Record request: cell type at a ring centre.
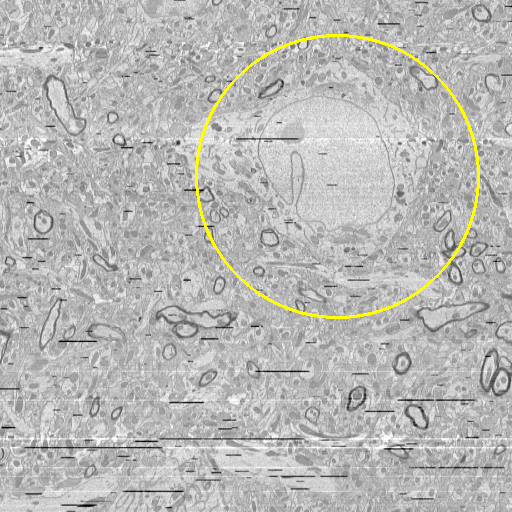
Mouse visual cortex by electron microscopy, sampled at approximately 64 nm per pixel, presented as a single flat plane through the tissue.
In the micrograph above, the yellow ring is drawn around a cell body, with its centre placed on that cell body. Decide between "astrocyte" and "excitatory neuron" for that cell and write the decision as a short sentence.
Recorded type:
The cell centred in the yellow ring is an excitatory neuron.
